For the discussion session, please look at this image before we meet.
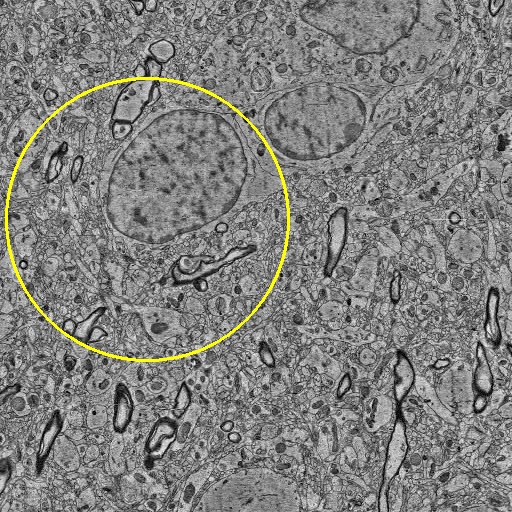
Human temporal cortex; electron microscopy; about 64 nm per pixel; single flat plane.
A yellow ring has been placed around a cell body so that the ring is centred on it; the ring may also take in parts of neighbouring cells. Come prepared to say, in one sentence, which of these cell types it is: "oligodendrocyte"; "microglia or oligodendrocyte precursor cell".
The cell centred in the ring is a microglial cell or oligodendrocyte precursor cell.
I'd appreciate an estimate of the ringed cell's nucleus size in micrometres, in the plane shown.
The nucleus comes to roughly 10 by 8 micrometres in this plane.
